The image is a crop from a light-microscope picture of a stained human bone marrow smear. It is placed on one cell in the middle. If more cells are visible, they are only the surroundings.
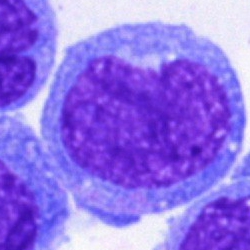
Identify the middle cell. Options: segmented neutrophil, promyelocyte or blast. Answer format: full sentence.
The central cell shown in this smear crop is a blast.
